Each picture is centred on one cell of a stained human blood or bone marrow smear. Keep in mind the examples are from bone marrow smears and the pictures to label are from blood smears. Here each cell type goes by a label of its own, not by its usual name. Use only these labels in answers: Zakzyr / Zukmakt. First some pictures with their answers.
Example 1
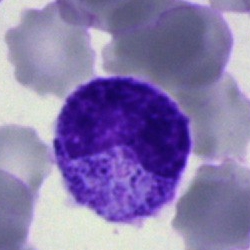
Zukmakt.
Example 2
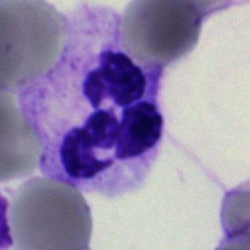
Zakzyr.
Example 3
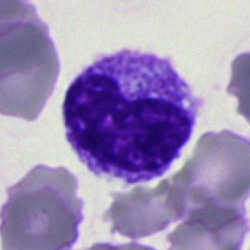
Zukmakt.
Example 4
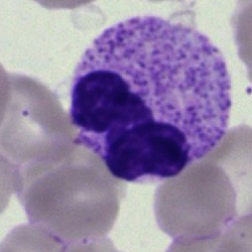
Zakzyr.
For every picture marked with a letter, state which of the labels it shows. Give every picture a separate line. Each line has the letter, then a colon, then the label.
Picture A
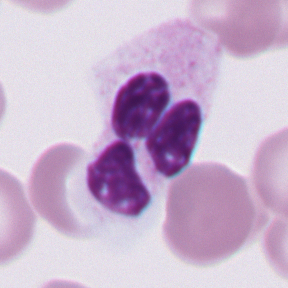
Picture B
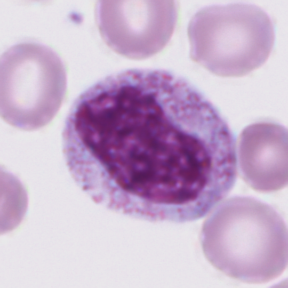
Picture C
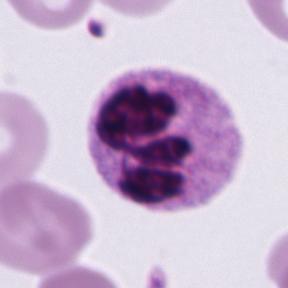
A: Zakzyr.
B: Zukmakt.
C: Zakzyr.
